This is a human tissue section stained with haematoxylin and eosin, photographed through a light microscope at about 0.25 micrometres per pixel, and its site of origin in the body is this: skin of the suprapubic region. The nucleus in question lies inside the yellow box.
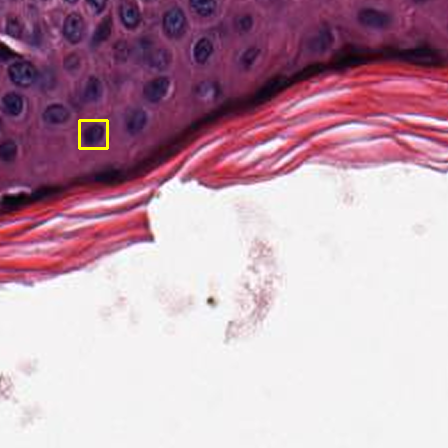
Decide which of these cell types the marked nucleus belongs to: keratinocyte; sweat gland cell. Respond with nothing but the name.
keratinocyte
